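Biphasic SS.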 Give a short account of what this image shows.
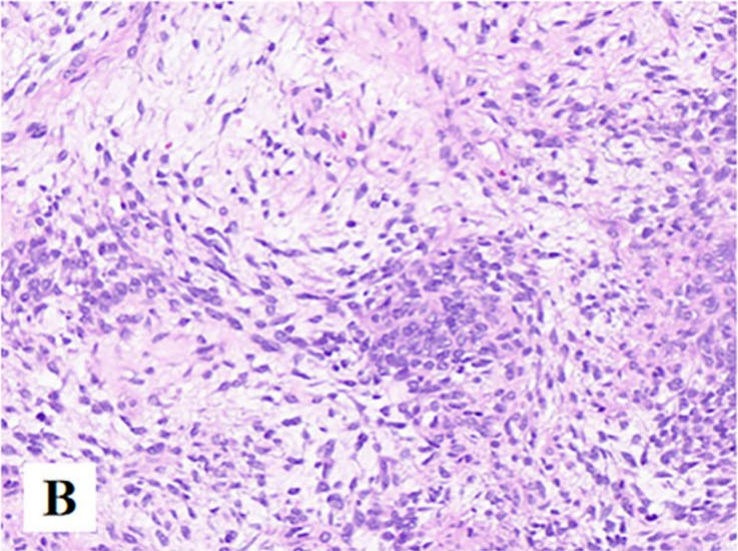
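This tumour tissue shows spindle cells set in a pale, loose pink background, with areas of differing cellularity. In places the cells crowd together into denser clusters with rounder, darker purple nuclei, while elsewhere the elongated cells lie more widely spaced. The nuclei are oval to spindle-shaped and the cytoplasm is scant and pale.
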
